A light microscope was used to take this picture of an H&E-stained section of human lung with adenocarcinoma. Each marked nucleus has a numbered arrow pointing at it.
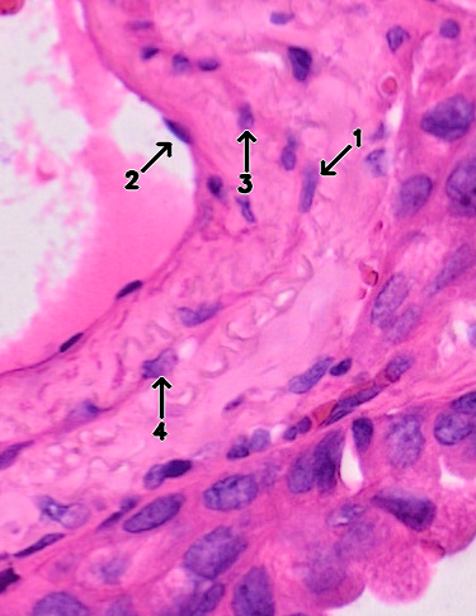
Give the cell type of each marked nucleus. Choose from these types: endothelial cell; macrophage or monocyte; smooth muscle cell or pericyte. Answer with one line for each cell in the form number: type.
1: smooth muscle cell or pericyte
2: endothelial cell
3: smooth muscle cell or pericyte
4: smooth muscle cell or pericyte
